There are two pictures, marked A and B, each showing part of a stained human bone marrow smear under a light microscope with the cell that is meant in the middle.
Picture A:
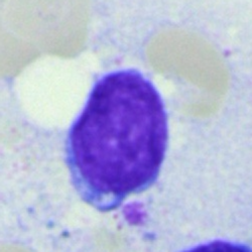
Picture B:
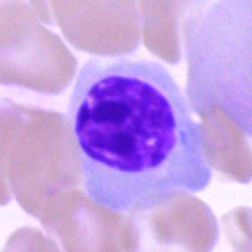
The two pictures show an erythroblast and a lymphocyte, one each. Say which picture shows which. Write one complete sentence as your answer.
Picture B shows an erythroblast, while picture A shows a lymphocyte.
